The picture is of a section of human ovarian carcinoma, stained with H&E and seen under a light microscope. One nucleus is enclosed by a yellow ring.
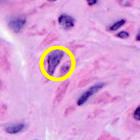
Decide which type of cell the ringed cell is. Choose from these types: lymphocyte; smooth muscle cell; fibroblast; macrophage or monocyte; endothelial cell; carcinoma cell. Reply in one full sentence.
The ringed cell appears to be a smooth muscle cell.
